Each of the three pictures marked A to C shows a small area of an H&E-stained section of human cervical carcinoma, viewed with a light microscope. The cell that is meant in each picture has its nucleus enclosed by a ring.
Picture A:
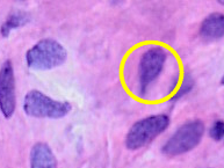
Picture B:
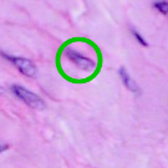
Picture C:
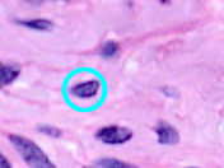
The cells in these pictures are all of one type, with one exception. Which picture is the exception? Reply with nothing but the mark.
B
